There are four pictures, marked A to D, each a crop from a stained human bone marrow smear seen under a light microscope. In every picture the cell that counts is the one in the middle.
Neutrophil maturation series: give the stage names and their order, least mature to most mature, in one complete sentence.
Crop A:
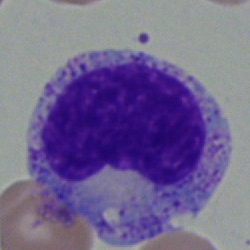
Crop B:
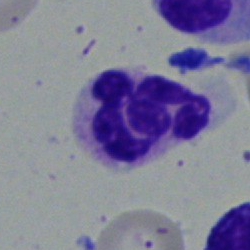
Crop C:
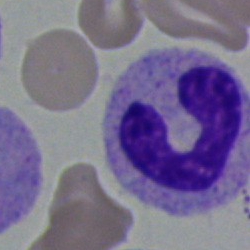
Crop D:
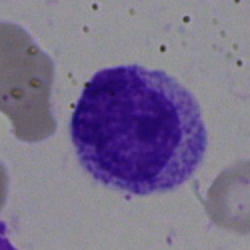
The arrangement from least to most mature is crop D (a myelocyte), crop A (a metamyelocyte), crop C (a band neutrophil) and crop B (a segmented neutrophil).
